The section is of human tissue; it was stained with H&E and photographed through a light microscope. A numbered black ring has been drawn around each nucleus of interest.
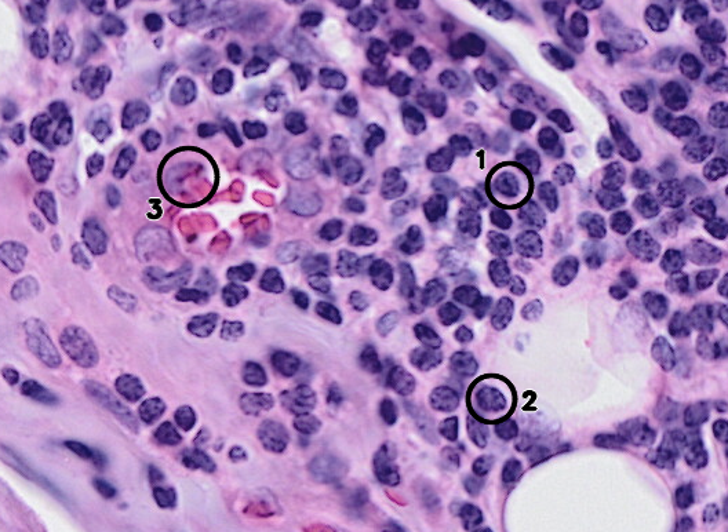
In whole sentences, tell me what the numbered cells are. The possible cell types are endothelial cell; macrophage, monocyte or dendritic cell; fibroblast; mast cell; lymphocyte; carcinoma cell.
Cell 1 is a lymphocyte, cell 2 is a lymphocyte and cell 3 is an endothelial cell.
